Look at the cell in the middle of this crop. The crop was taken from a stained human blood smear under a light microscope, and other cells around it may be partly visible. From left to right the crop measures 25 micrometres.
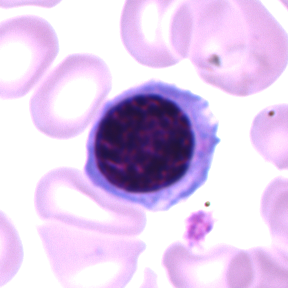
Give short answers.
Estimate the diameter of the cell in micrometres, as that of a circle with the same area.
11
